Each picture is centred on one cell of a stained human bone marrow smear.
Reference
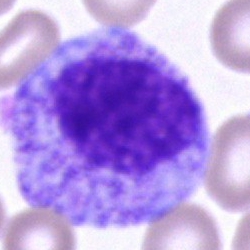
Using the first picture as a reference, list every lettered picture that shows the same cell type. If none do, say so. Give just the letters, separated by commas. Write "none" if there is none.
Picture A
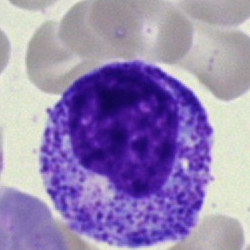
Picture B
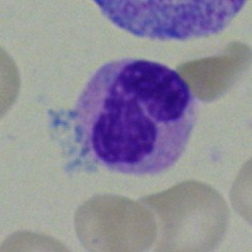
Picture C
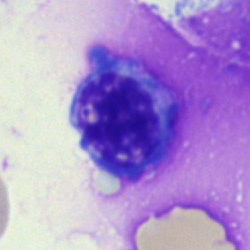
A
